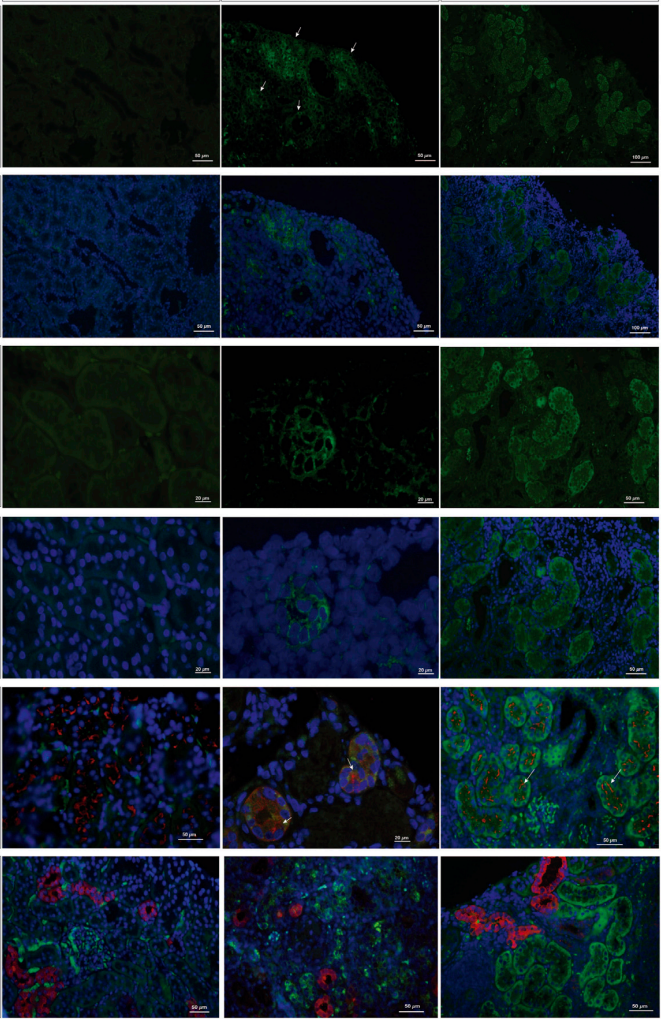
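These are sections of kidney parenchyma, where many small round blue nuclei crowd between cross-sections of renal tubules. In several images, green fluorescence outlines rings of epithelial cells around a small central lumen, and in some of them red dots lie along the inner, luminal side. In the lowest row, whole tubule cross-sections are filled with strong red, and these lie beside other tubules that are outlined in green.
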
